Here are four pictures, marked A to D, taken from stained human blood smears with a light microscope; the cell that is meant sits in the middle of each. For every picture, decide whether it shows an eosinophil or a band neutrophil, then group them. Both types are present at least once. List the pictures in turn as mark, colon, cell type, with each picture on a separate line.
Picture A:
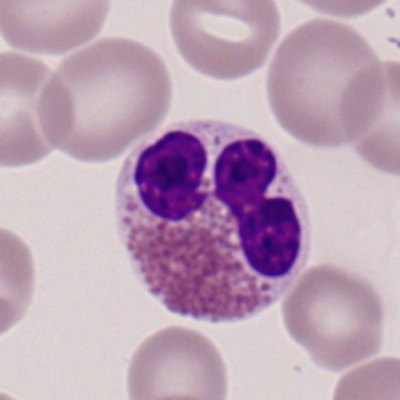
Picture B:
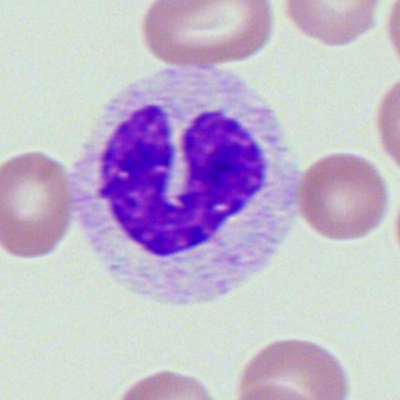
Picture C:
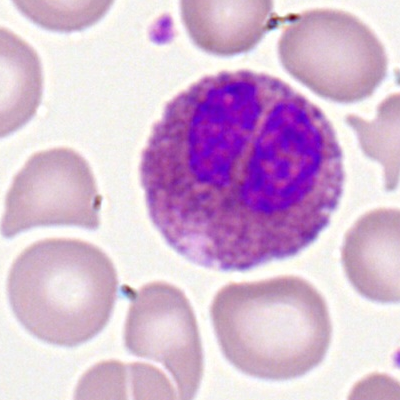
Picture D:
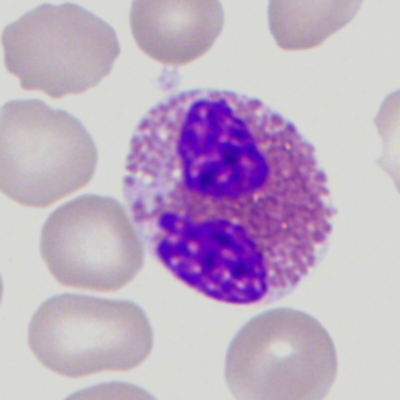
A: eosinophil
B: band neutrophil
C: eosinophil
D: eosinophil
